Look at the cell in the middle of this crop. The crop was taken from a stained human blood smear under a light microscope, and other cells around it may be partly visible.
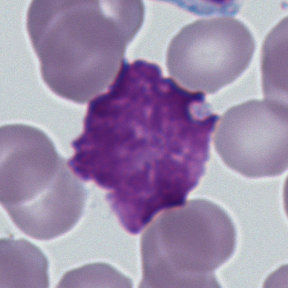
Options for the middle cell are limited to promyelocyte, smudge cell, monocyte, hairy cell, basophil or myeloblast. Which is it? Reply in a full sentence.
The central element of this crop is a cell, namely a smudge cell.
